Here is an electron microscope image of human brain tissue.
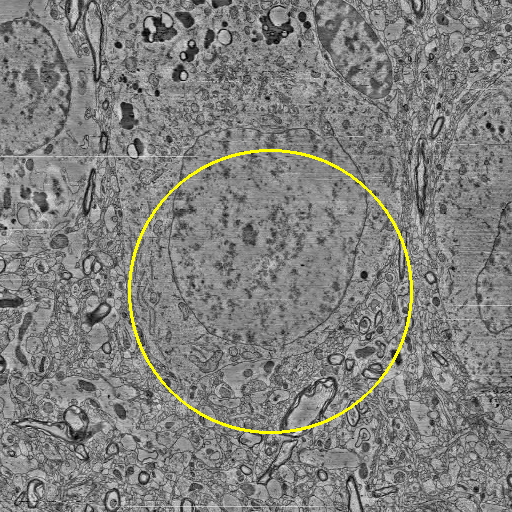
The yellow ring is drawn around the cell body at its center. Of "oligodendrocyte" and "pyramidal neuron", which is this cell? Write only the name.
pyramidal neuron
